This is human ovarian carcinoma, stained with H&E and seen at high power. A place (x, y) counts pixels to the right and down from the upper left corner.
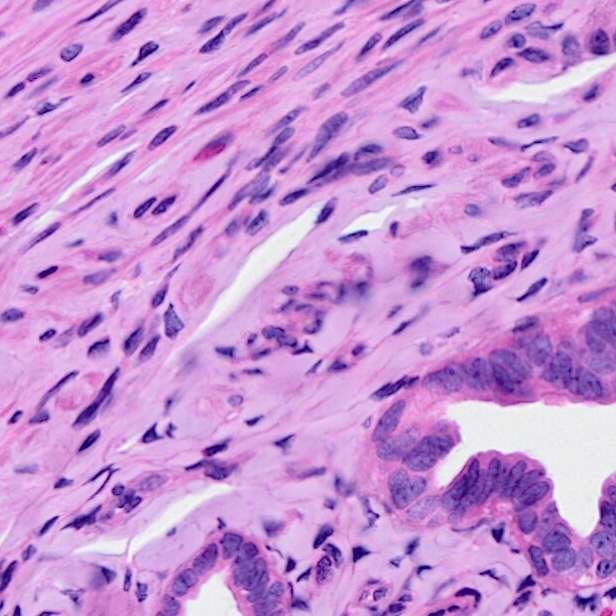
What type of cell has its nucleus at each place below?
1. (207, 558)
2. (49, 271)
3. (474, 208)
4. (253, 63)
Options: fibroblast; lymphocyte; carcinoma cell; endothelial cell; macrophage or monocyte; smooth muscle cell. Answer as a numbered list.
1. carcinoma cell
2. smooth muscle cell
3. smooth muscle cell
4. smooth muscle cell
